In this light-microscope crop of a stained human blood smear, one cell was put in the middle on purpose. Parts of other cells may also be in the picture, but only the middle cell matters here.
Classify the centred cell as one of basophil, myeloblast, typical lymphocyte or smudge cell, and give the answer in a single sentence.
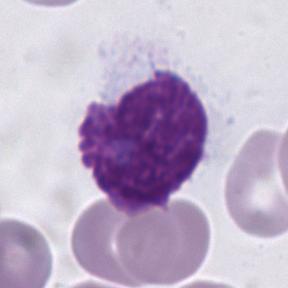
The crop shows a smudge cell in its centre.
